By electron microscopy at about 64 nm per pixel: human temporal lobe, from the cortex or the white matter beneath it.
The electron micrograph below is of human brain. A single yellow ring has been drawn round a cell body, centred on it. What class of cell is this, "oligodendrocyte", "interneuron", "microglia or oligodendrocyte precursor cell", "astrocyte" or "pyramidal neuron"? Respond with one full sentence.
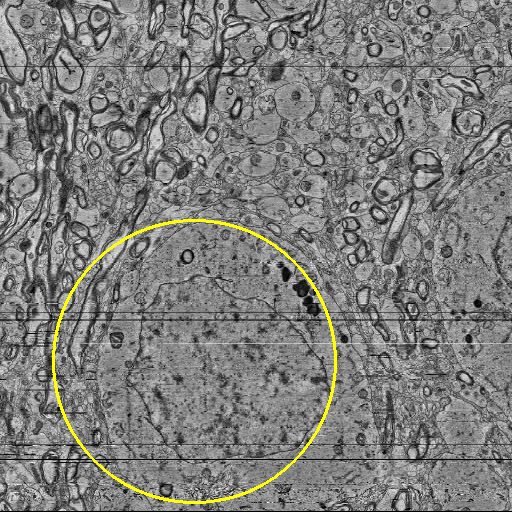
In the micrograph, the cell centred inside the yellow ring is a pyramidal neuron.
